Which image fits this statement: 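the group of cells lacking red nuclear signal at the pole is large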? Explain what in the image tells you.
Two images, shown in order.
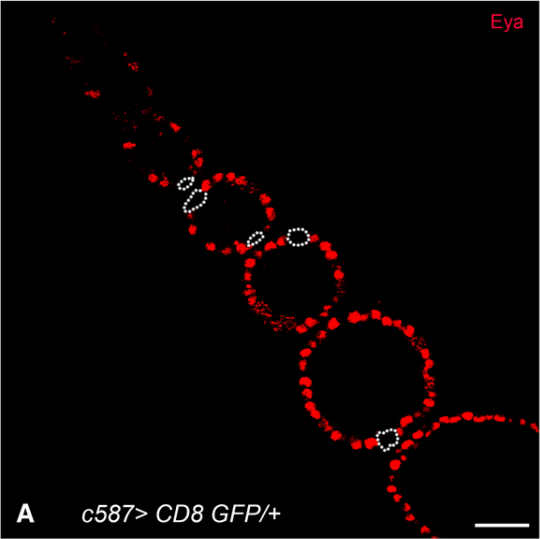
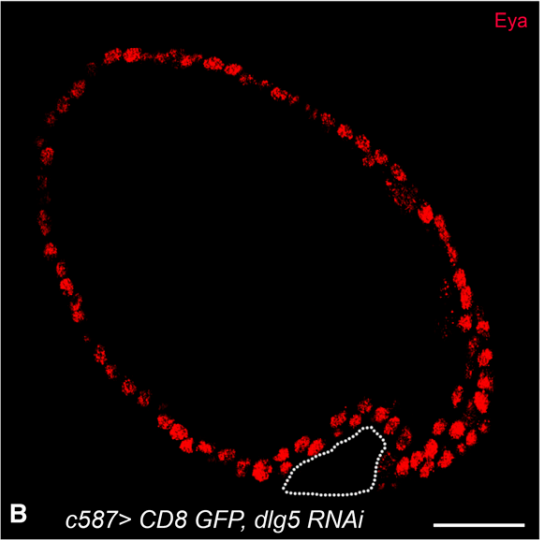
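Second image: a wide outlined stretch at one pole spans several cells without red nuclei. First image: each outlined gap at the poles holds only one or two cells.
Conclusion: the second image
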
